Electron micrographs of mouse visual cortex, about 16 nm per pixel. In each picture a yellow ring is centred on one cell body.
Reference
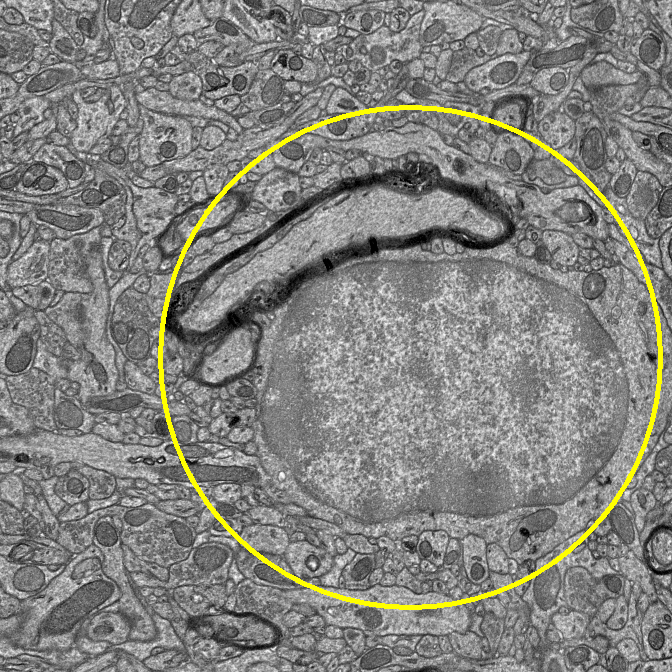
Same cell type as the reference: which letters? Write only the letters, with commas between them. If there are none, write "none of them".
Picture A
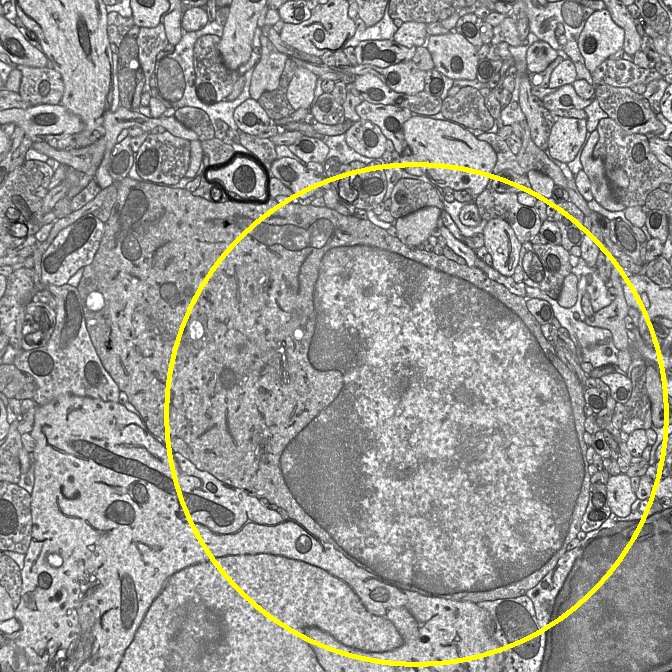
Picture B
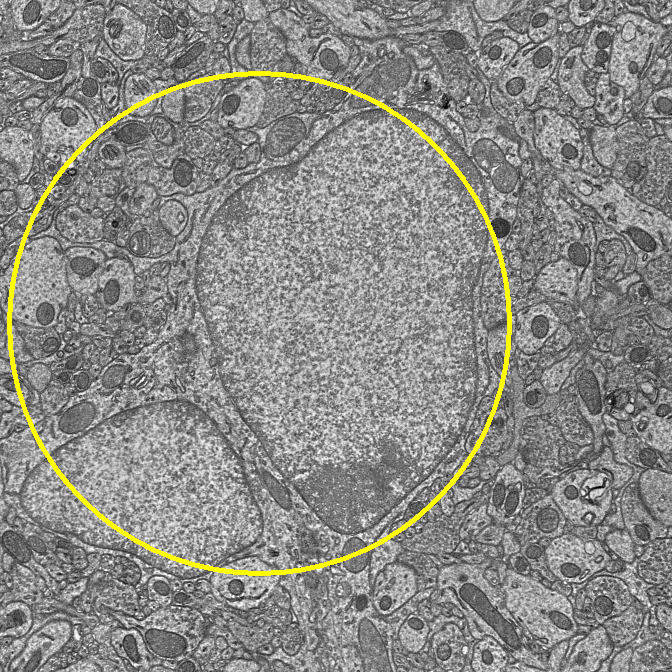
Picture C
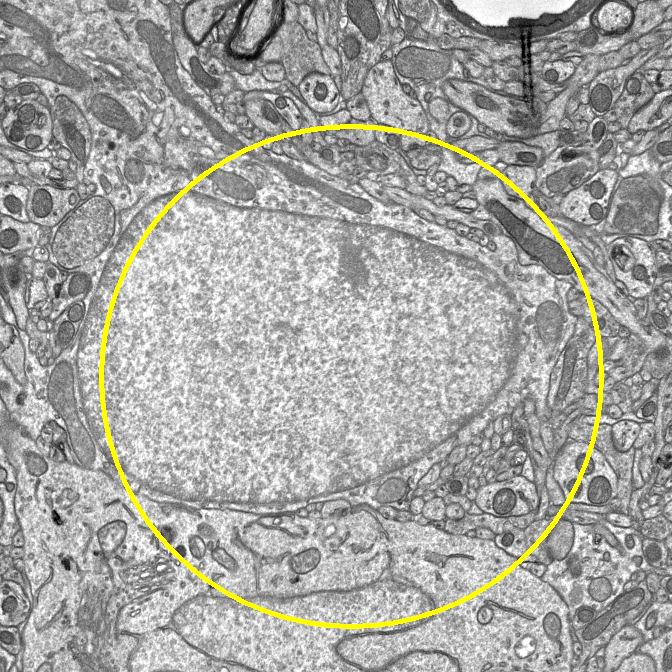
A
